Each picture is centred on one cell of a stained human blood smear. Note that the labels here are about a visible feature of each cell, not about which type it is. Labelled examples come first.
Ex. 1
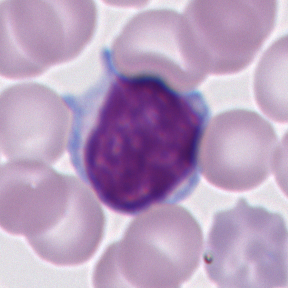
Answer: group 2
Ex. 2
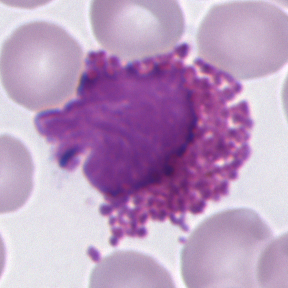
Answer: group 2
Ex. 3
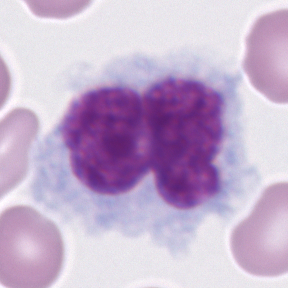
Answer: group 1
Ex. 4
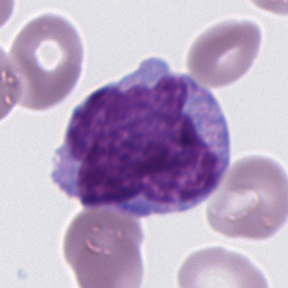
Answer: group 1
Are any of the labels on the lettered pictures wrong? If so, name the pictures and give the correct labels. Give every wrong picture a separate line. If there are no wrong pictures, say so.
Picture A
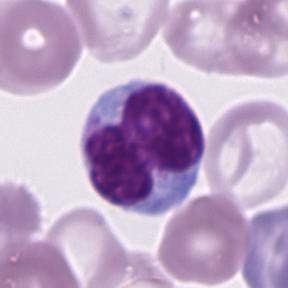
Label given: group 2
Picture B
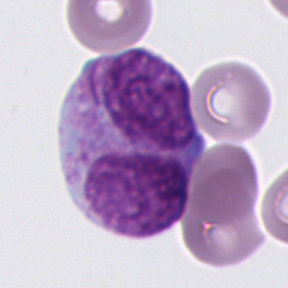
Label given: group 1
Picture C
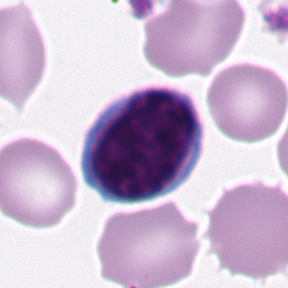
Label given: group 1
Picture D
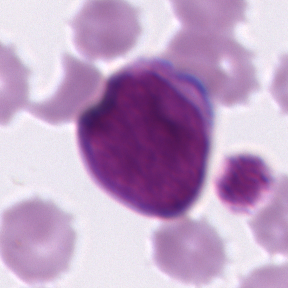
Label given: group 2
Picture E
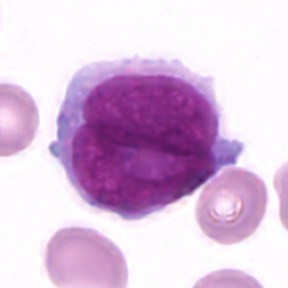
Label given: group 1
A: group 1, not group 2
C: group 2, not group 1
